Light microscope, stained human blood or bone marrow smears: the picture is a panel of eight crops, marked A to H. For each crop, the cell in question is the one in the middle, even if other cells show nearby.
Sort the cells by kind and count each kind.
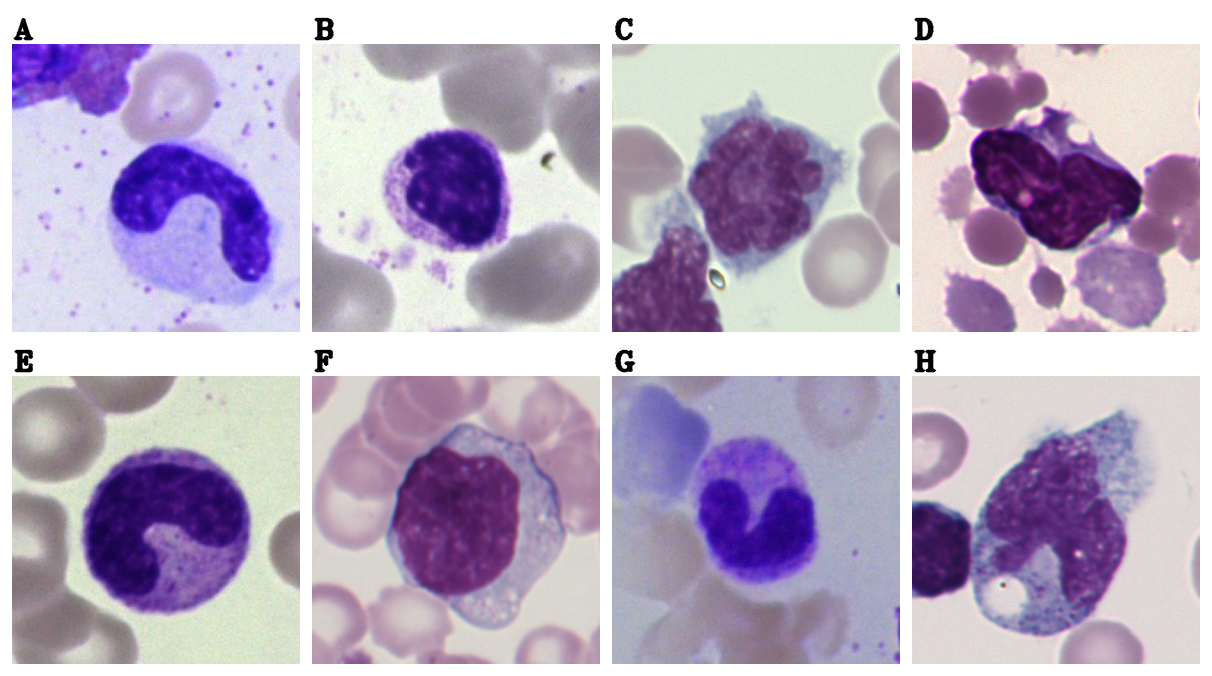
band neutrophil: 4
monocyte: 4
